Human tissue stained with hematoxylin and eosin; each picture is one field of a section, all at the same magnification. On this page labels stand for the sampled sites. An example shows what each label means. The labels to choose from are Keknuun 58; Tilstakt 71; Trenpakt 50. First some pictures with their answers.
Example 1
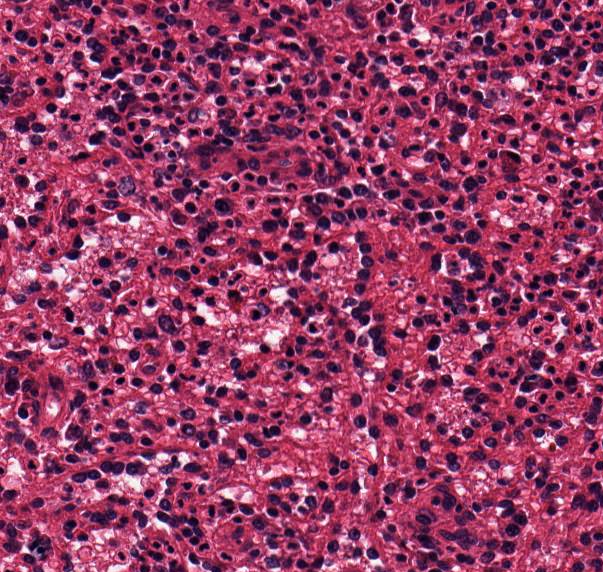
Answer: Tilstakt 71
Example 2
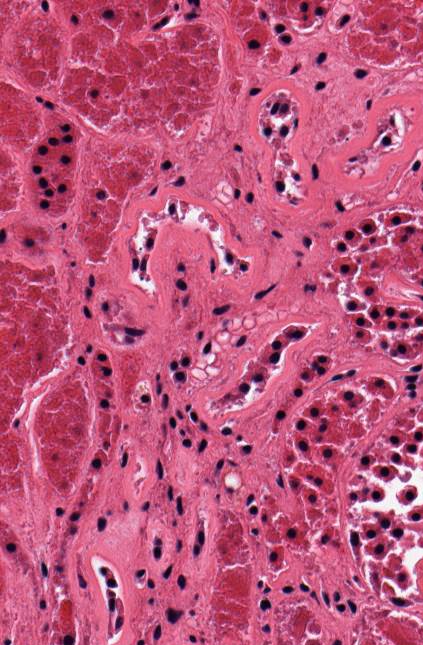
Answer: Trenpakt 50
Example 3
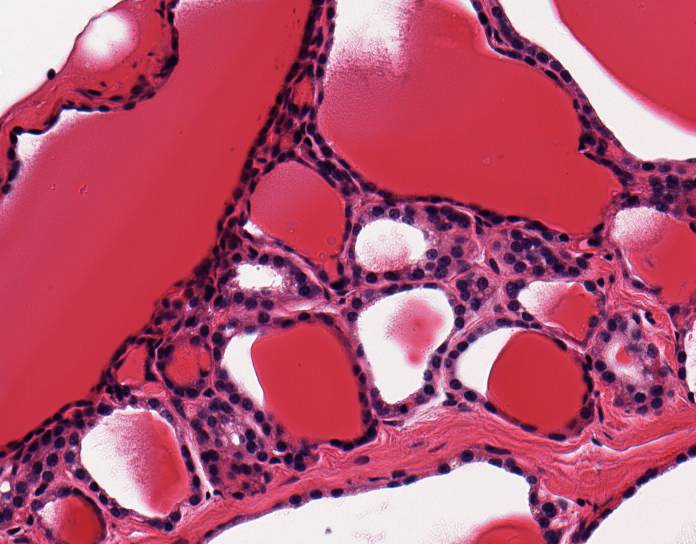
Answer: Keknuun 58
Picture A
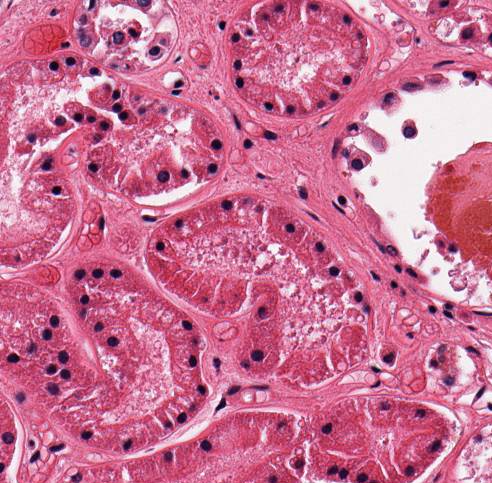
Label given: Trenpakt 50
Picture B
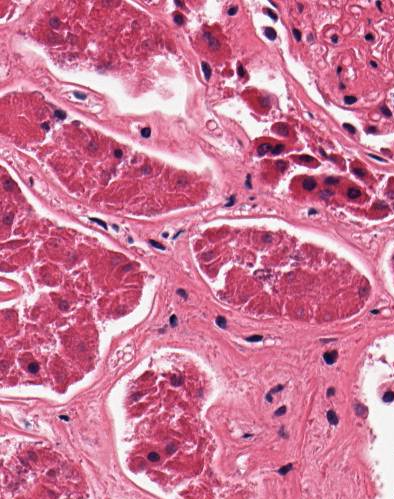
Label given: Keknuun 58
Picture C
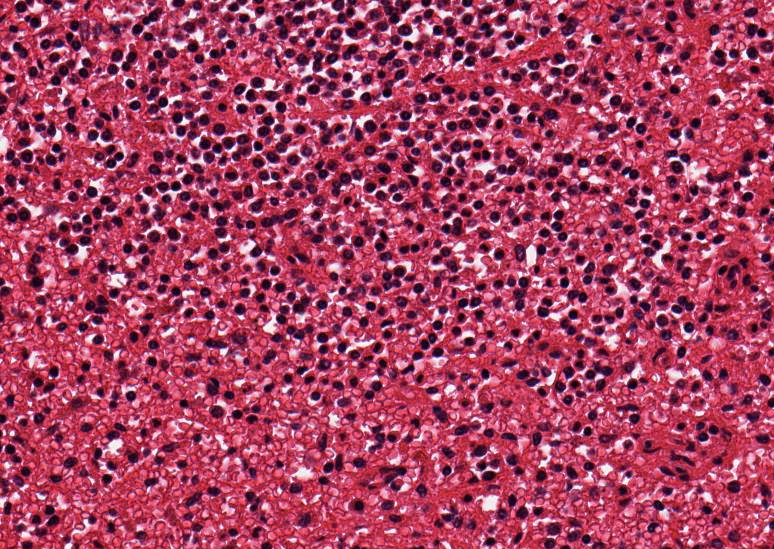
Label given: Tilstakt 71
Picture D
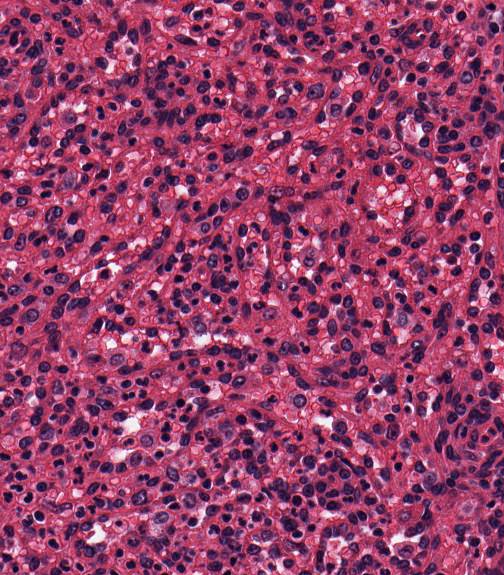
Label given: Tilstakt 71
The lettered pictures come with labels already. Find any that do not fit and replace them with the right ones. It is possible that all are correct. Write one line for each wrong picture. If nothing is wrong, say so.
B is labelled Keknuun 58; correct label: Trenpakt 50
